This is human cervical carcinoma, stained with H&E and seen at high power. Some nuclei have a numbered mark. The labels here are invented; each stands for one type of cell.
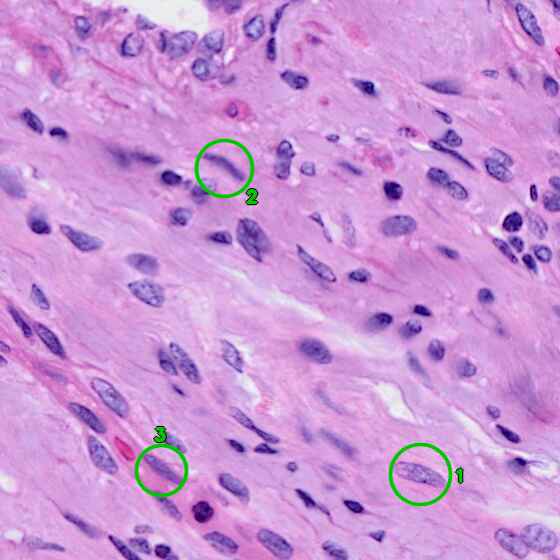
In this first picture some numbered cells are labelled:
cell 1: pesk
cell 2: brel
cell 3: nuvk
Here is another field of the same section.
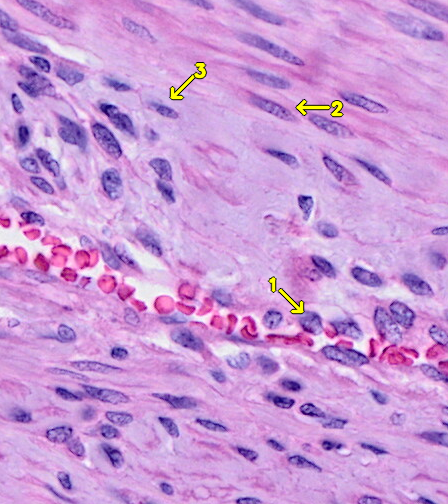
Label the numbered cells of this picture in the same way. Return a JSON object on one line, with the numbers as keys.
{"1": "nuvk", "2": "pesk", "3": "brel"}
